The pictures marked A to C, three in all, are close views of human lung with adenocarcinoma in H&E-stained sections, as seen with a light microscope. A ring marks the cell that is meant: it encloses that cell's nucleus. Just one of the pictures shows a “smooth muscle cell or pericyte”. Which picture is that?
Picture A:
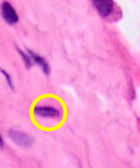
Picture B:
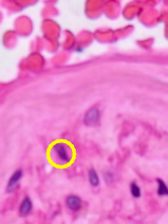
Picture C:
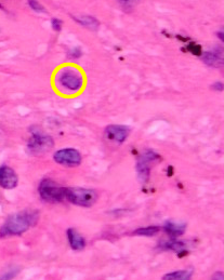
B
